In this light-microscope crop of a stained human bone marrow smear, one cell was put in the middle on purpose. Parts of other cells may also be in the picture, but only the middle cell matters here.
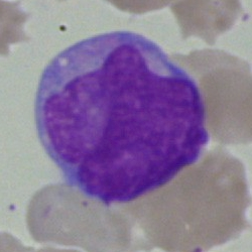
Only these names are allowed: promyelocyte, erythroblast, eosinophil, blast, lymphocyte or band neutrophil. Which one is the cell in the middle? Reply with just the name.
blast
